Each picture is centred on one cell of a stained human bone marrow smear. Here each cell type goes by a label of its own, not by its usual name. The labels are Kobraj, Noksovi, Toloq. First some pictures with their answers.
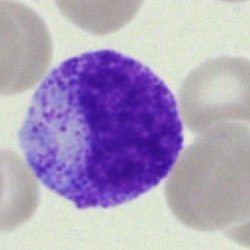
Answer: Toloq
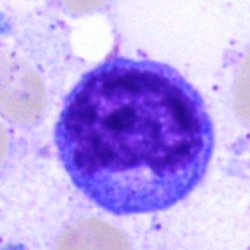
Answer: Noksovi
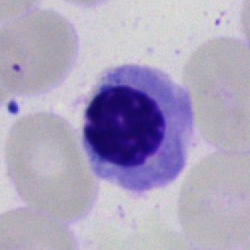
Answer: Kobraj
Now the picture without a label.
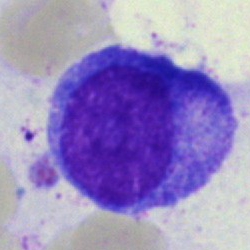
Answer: Noksovi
